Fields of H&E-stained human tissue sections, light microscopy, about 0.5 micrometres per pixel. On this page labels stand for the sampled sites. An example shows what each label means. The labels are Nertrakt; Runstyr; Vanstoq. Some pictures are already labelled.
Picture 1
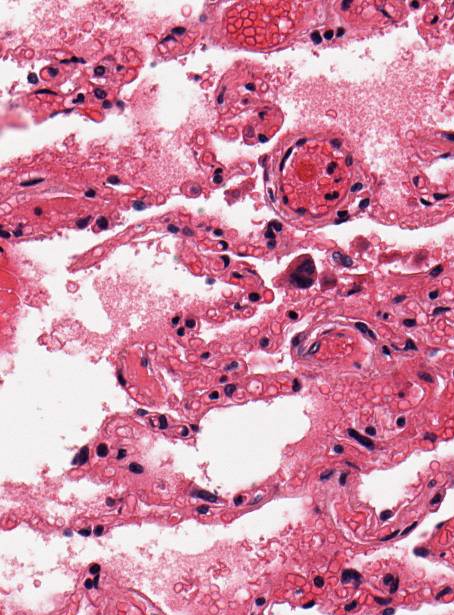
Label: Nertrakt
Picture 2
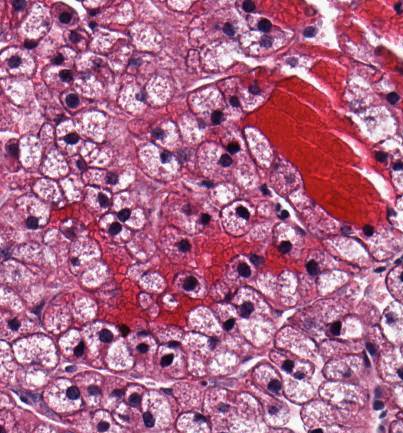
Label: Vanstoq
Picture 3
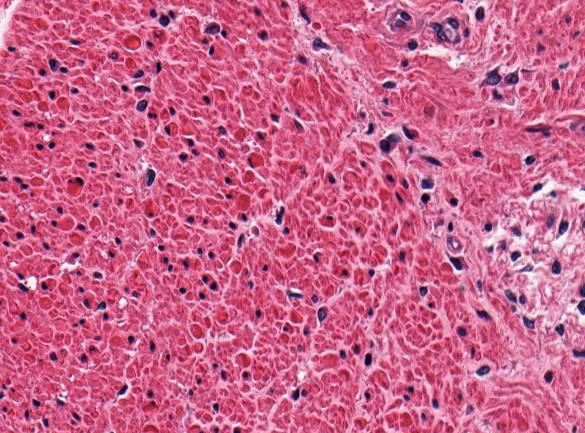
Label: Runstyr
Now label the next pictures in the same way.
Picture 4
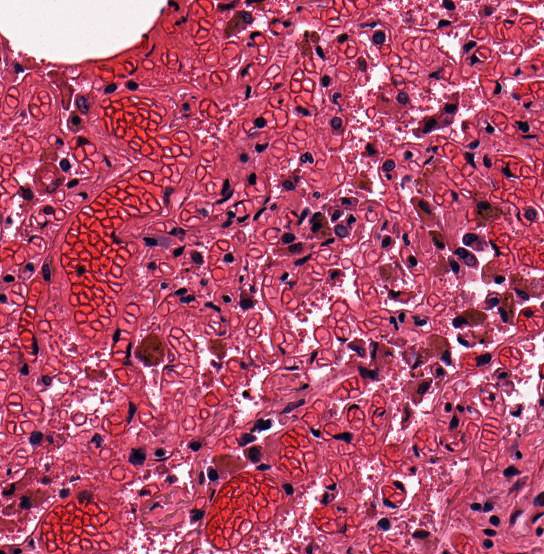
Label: Nertrakt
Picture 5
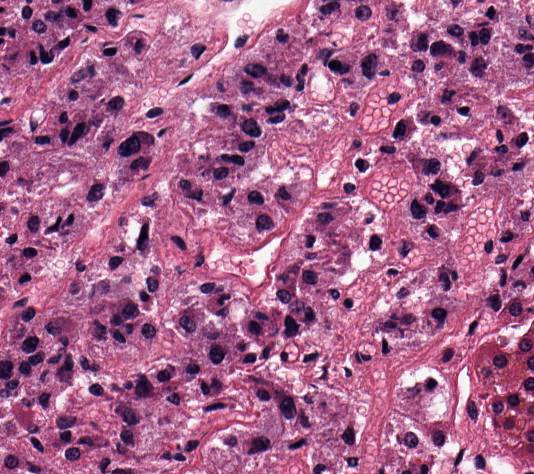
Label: Vanstoq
